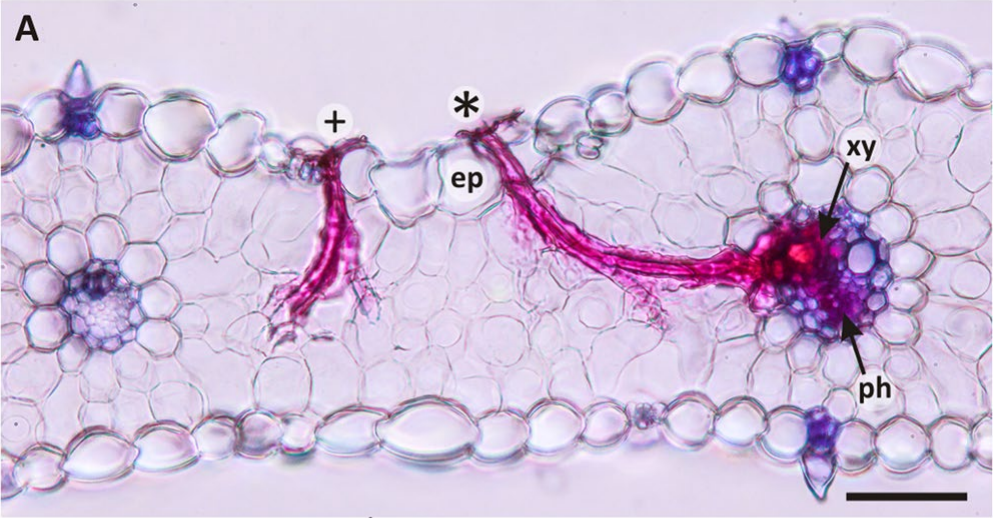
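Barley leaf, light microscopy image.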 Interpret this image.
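A cross-section of a leaf blade with a single layer of upper and lower epidermal cells enclosing loosely packed, thin-walled mesophyll cells and round vascular bundles. Each bundle is ringed by a sheath of larger cells around small cells that stain purple.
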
